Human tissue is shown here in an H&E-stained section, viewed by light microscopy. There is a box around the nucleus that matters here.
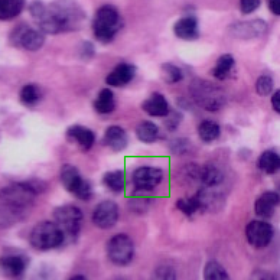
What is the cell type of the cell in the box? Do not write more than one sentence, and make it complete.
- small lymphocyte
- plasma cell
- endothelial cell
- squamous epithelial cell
By its classification, the cell in the box is a plasma cell.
